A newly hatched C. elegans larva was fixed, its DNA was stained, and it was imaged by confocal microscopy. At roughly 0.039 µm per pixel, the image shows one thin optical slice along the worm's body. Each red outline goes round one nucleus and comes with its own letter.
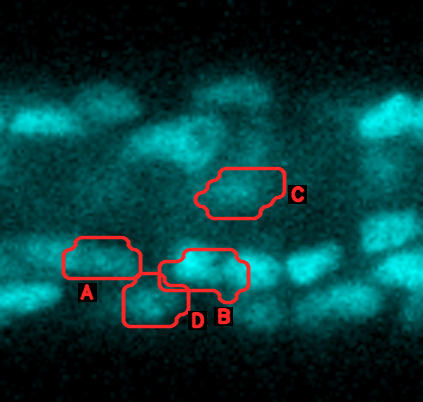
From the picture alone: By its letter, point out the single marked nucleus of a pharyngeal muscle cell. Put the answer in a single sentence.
B is from a pharyngeal muscle cell.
